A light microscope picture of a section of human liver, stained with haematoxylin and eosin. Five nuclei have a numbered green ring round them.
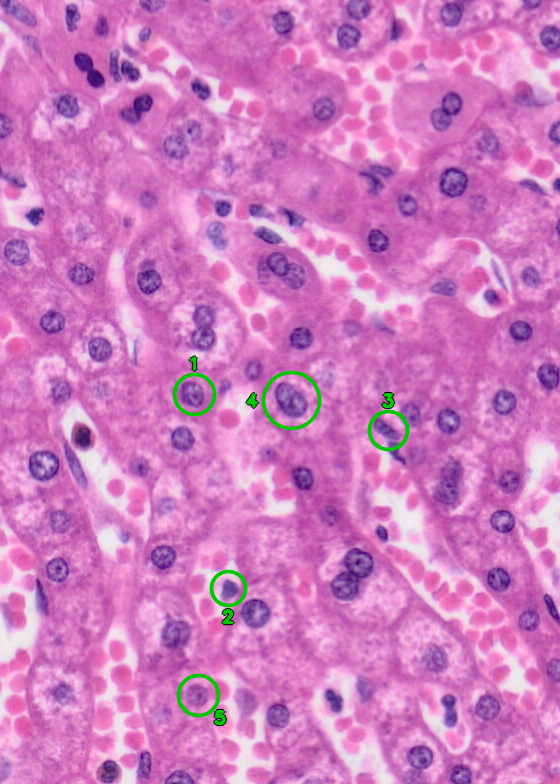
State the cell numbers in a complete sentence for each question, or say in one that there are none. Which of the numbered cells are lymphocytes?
Of all the numbered cells, only one is a lymphocyte, and that is cell 2.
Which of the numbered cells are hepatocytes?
Cells 1, 4 and 5 are recognised here as hepatocytes.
